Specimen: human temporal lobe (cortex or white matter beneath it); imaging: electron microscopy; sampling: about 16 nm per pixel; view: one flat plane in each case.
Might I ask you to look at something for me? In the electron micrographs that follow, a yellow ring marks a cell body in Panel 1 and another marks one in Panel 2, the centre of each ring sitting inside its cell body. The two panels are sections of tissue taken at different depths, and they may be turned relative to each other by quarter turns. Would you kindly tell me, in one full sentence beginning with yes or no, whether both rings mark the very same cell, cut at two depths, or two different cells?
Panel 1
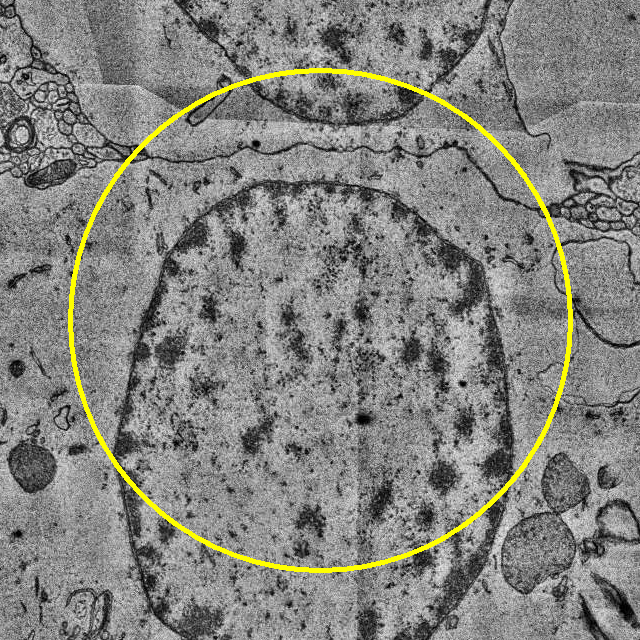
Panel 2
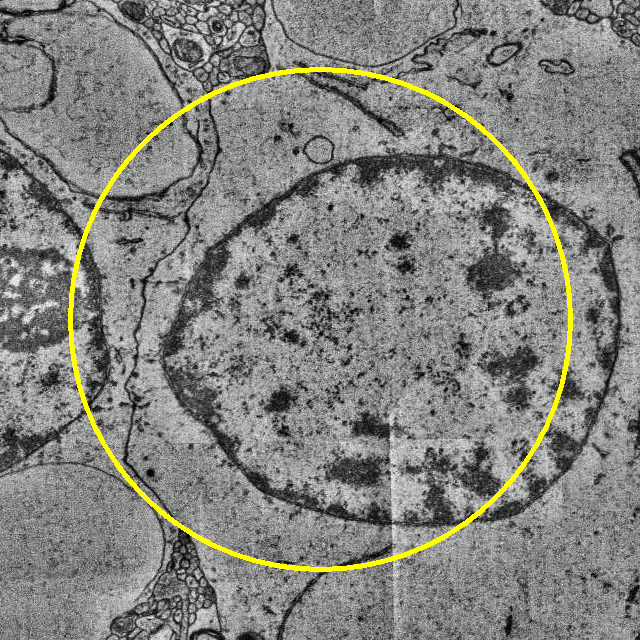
Yes, these two rings point to one cell rather than two.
